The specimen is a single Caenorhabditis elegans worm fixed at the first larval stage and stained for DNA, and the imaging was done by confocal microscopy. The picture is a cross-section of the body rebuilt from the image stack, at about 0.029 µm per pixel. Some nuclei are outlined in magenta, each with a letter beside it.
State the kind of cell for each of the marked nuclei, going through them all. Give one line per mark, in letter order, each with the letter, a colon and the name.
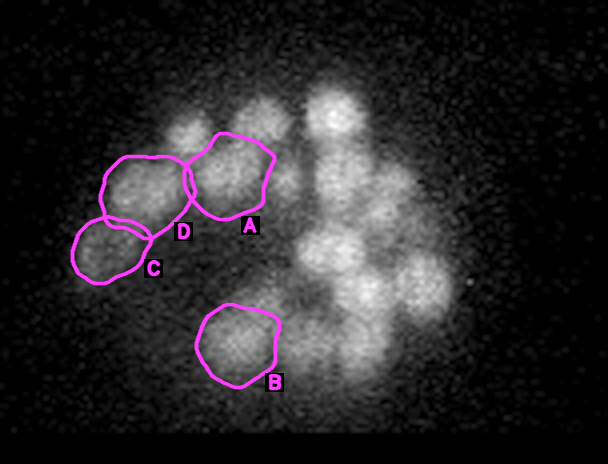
A: neuron
B: neuron
C: hypodermal cell (hyp)
D: neuron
